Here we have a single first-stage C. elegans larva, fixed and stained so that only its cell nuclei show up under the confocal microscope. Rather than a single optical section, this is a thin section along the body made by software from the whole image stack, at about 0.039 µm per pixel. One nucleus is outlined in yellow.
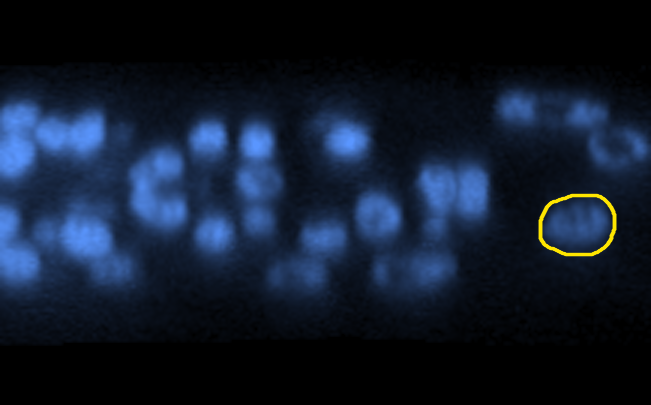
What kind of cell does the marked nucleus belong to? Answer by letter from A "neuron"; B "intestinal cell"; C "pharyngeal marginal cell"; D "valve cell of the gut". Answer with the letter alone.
B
